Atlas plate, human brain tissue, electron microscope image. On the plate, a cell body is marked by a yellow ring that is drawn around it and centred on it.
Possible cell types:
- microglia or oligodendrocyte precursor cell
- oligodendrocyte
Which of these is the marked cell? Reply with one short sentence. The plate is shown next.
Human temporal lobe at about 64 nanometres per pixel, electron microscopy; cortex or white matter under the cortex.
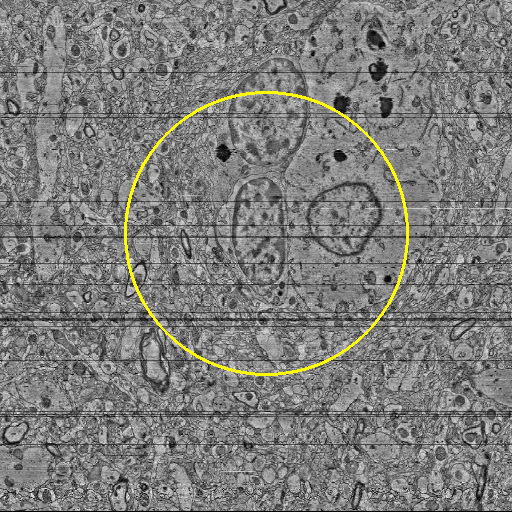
The marked cell is a microglial cell or oligodendrocyte precursor cell.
